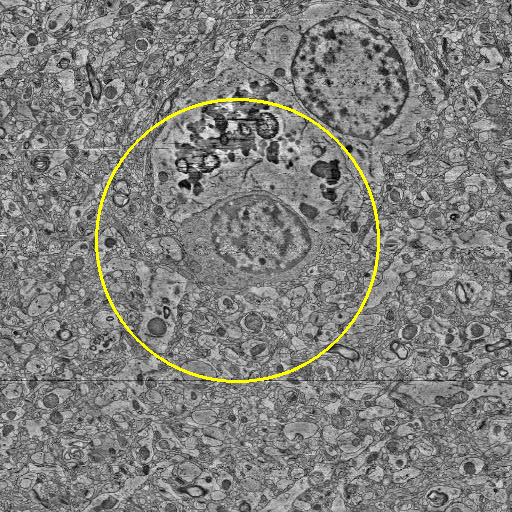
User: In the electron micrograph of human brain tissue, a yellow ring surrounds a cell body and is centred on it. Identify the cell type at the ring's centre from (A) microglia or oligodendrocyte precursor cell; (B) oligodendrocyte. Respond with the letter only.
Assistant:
B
